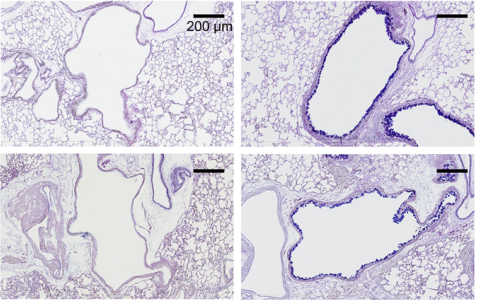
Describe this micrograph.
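Lung sections showing large airways surrounded by fine alveolar parenchyma. The alveolar walls form a delicate pale purple lacework around the airways. In the left-hand images the airway lining is thin and pale, with little colour along the lumen. In the right-hand images the airway lining is stained a strong dark purple-blue along its whole circumference and appears thicker and folded. Adjacent smaller airways and vessels lie beside the large airways.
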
